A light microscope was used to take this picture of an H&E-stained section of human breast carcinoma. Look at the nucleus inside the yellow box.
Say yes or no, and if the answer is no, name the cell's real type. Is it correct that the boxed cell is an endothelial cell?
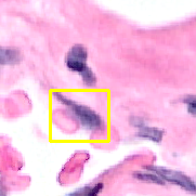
Yes.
